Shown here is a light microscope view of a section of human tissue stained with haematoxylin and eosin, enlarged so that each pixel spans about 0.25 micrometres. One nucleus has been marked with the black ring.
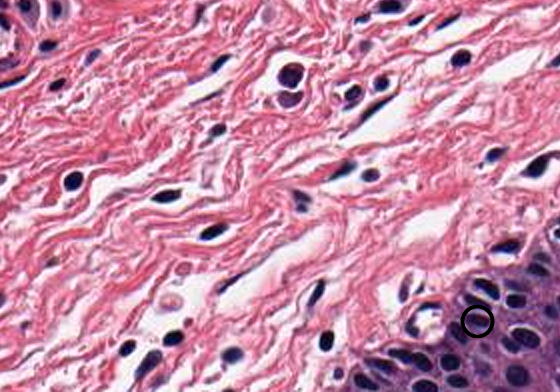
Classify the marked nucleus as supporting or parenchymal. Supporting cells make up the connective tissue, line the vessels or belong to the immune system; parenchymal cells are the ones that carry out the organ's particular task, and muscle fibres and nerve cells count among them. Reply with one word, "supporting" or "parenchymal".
parenchymal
